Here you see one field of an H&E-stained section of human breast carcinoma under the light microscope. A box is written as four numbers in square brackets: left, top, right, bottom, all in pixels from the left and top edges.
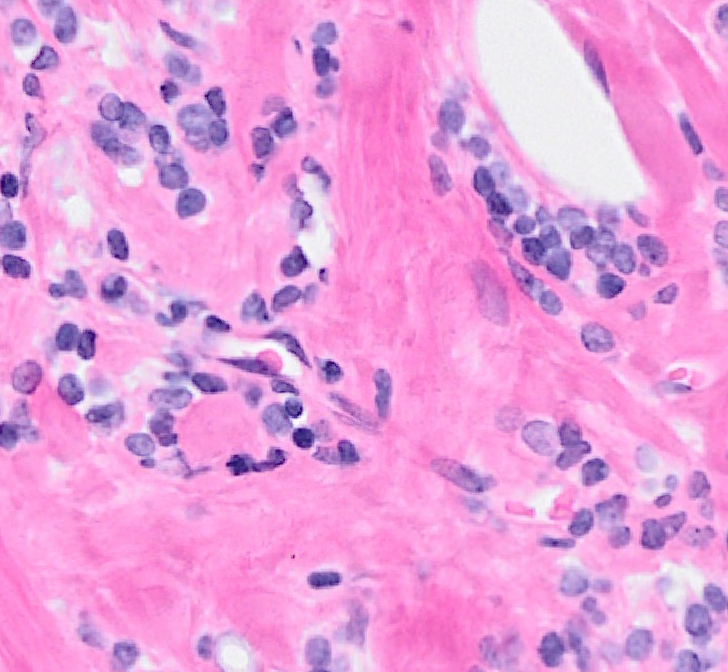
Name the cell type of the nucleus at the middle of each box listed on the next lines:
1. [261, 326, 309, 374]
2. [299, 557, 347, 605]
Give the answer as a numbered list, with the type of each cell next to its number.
1. endothelial cell
2. lymphocyte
